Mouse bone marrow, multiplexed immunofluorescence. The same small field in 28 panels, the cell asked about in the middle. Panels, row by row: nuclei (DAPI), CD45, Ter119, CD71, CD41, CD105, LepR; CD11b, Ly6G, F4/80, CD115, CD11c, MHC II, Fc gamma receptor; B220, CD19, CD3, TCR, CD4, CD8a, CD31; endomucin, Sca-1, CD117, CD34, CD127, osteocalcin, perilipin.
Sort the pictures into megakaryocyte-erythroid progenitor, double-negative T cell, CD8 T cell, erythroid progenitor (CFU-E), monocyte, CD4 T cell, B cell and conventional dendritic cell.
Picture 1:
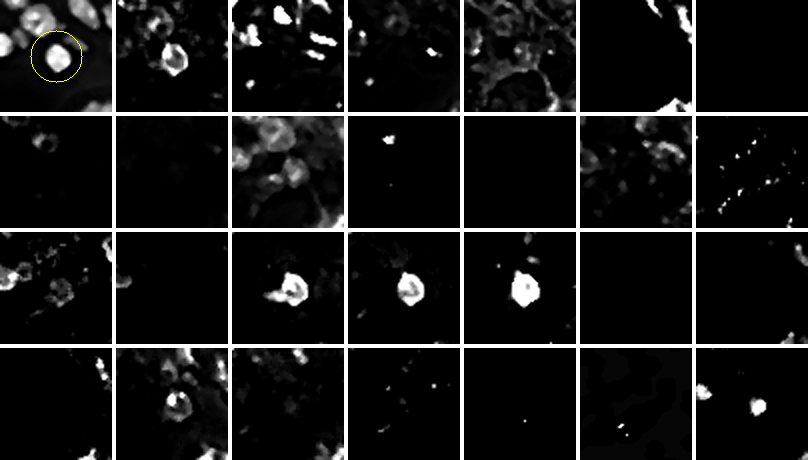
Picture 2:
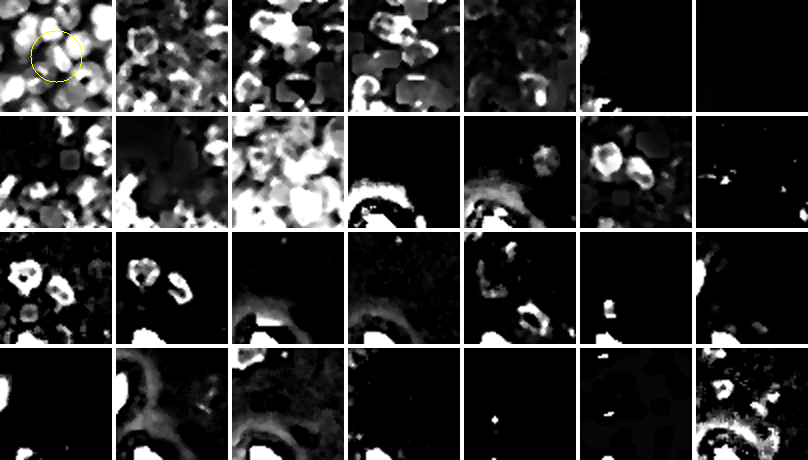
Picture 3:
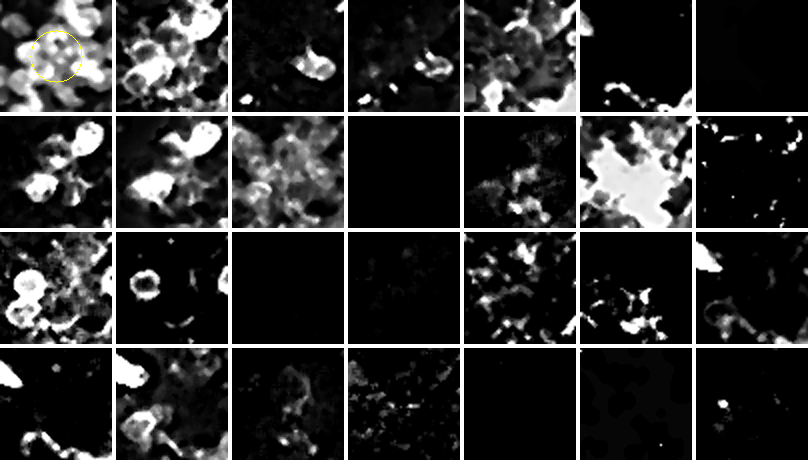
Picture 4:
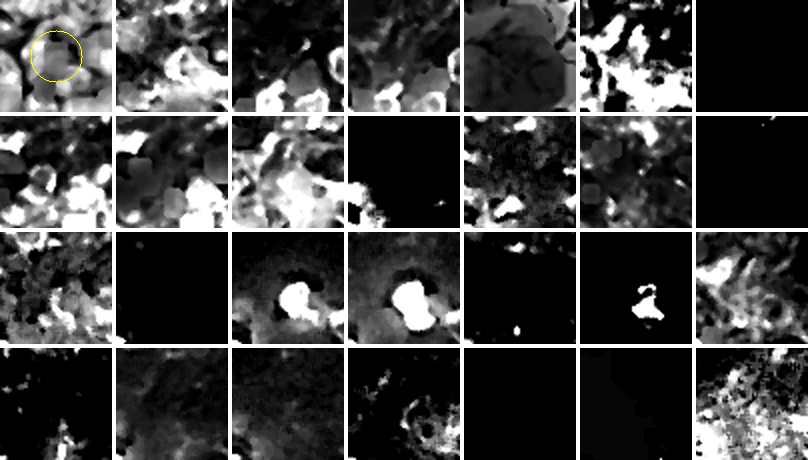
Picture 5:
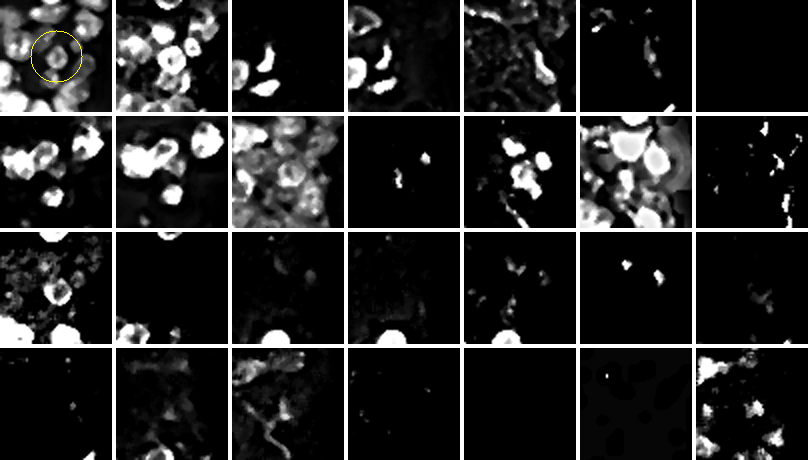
CD4 T cells: 1
B cells: 2
Conventional dendritic cells: 3, 5
Double-negative T cells: 4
